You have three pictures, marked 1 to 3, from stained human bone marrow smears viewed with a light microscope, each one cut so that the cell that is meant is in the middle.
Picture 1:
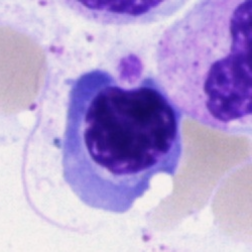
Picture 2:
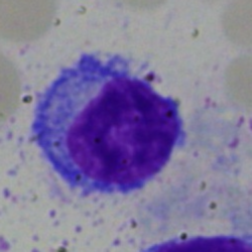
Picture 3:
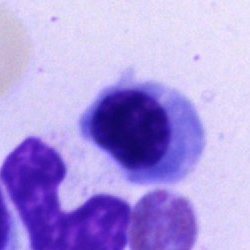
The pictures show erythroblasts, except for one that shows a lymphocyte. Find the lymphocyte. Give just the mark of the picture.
2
